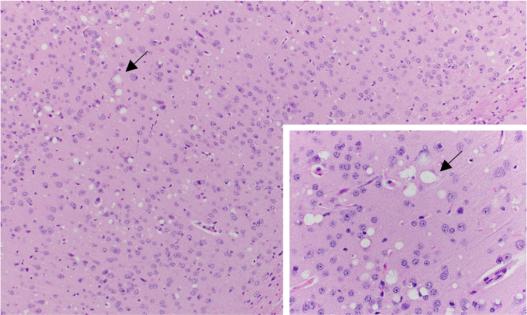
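This is brain tissue stained with hematoxylin and eosin, showing numerous cells within a pink neuropil that is interrupted by many clear, round vacuoles. The nuclei stain purple and are mostly round, scattered fairly evenly through the field. The vacuoles are empty, sharply bordered spaces of varying size, some clearly larger than the neighbouring nuclei, and they are dispersed among the cells rather than confined to one spot. The inset at higher magnification shows several such round clear spaces lying beside cells with rounded nuclei, one of them marked by an arrow. A few small blood vessels run through the tissue.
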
